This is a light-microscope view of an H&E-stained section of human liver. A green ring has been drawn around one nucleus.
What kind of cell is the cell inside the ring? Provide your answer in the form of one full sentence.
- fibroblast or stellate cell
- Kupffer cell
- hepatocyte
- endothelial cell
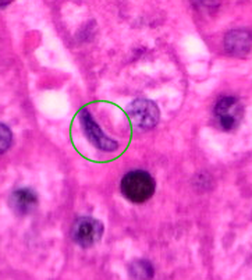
The classification of the cell inside the ring is as a Kupffer cell.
